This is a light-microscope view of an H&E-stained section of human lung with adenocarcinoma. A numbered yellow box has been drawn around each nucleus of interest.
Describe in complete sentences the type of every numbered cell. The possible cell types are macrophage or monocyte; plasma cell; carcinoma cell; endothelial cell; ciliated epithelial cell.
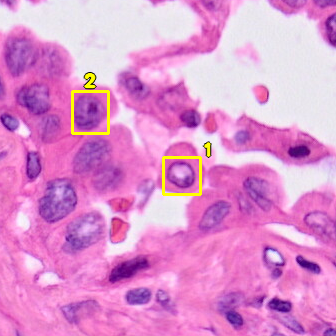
Cell 1 is a macrophage or monocyte and cell 2 is a carcinoma cell.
